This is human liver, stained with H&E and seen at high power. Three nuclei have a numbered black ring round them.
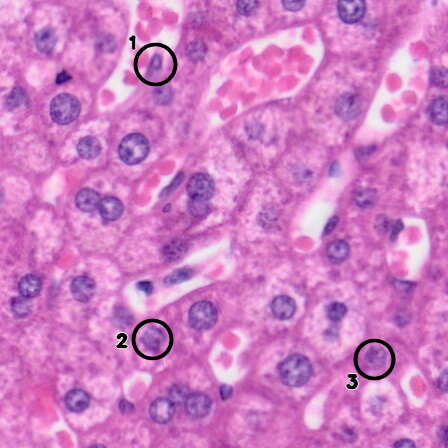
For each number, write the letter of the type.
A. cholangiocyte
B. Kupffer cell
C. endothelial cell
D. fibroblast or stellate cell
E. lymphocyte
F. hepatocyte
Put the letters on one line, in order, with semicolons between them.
B; F; F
